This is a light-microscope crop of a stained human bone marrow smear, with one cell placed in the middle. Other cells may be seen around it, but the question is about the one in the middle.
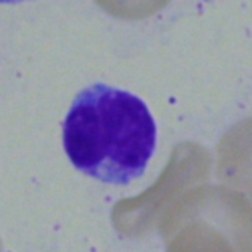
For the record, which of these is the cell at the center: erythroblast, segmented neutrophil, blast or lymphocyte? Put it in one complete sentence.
The central cell in this smear crop is a lymphocyte.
